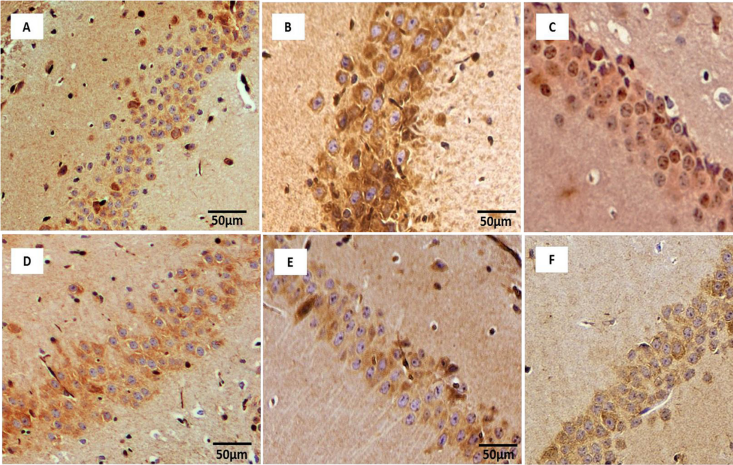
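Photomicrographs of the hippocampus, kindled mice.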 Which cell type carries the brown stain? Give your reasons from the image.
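Pyramidal cells. Each image shows a dense band of closely packed large neurons. The neurons have round, pale blue nuclei. The brown stain fills the cytoplasm of the cells in the band.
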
